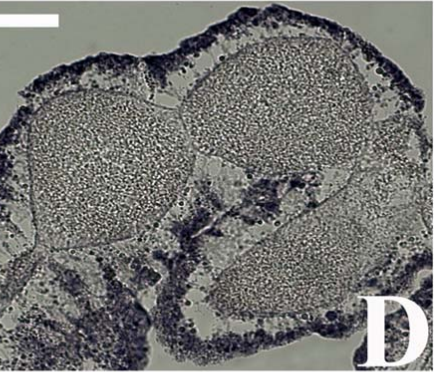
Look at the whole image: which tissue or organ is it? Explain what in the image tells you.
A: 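Fertile gonads. Several large rounded bodies filled with fine granular content fill the section. A rim of darkly stained cells lines the periphery around these bodies.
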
